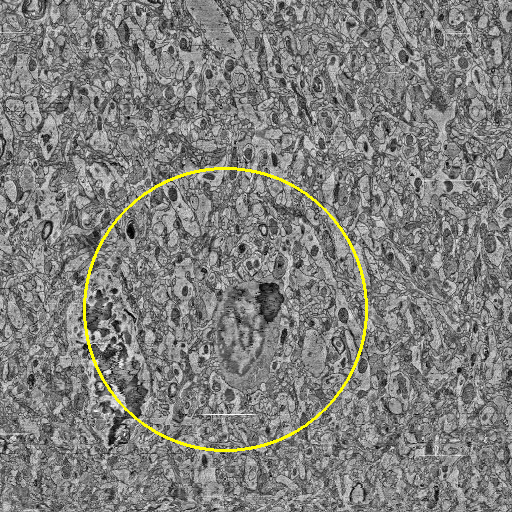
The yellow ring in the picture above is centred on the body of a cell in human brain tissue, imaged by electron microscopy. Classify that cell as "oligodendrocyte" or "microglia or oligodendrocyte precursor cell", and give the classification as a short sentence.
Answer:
The cell in the middle of the ring is an oligodendrocyte.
